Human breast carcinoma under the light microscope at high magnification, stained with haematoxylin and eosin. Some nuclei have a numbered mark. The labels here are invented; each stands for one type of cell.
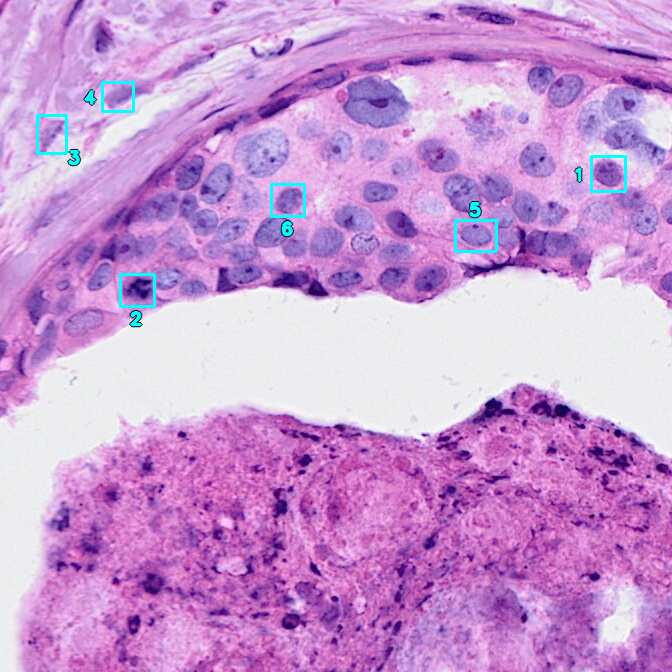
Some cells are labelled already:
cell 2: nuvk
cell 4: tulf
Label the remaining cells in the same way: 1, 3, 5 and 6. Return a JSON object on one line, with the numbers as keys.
{"1": "nuvk", "3": "tulf", "5": "nuvk", "6": "nuvk"}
